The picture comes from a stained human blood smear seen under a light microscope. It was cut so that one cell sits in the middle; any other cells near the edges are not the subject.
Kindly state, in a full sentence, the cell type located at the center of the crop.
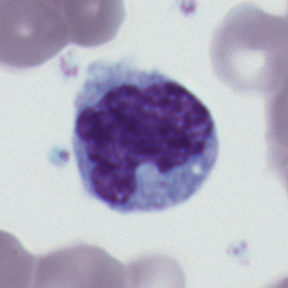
The identification for the central cell is a monocyte.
